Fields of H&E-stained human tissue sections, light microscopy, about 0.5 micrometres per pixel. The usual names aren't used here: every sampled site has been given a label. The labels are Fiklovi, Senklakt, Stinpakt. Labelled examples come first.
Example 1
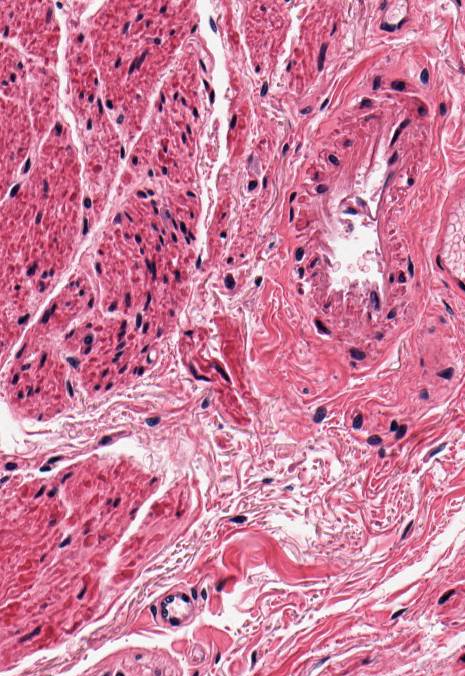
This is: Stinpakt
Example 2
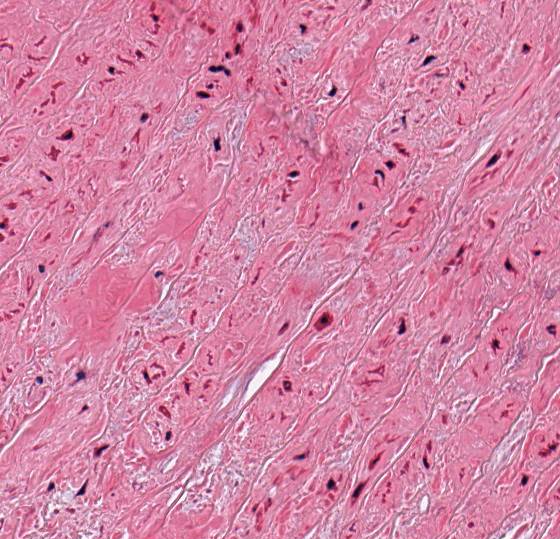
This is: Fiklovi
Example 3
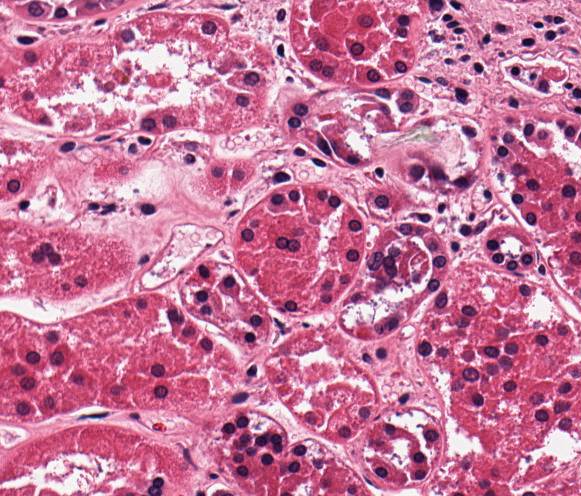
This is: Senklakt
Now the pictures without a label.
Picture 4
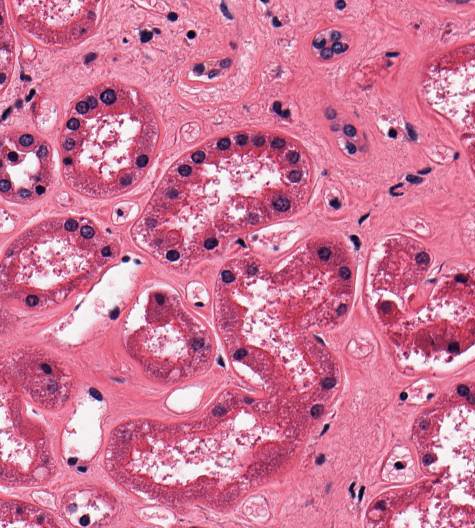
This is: Senklakt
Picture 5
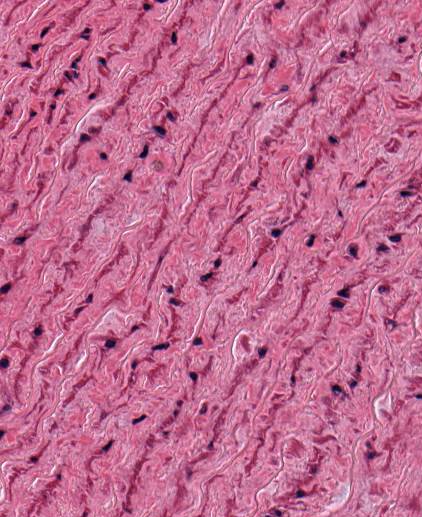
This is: Fiklovi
